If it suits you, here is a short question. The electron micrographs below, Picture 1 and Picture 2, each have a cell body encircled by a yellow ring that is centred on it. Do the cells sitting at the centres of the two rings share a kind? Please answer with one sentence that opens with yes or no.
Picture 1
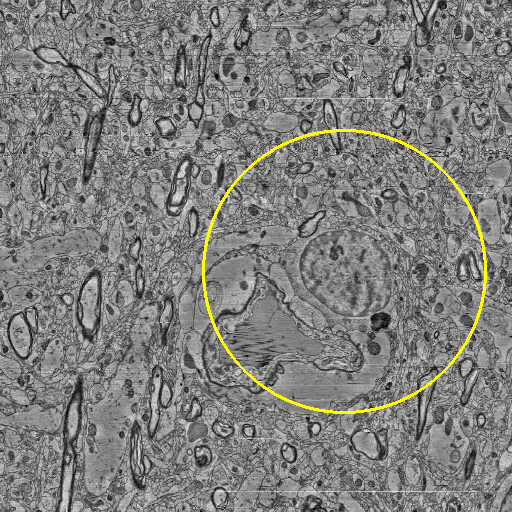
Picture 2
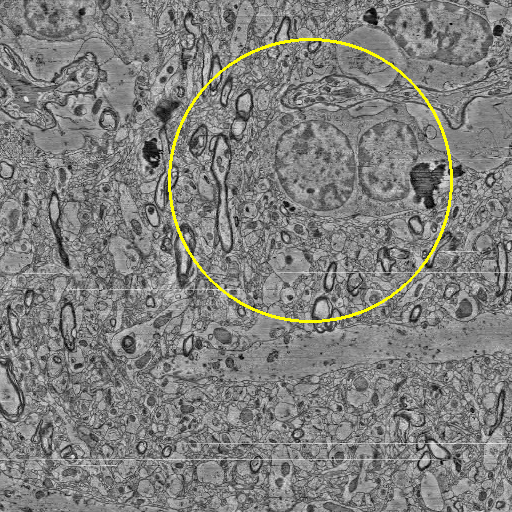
Yes, the two cells sitting at the ring centres share a single kind.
